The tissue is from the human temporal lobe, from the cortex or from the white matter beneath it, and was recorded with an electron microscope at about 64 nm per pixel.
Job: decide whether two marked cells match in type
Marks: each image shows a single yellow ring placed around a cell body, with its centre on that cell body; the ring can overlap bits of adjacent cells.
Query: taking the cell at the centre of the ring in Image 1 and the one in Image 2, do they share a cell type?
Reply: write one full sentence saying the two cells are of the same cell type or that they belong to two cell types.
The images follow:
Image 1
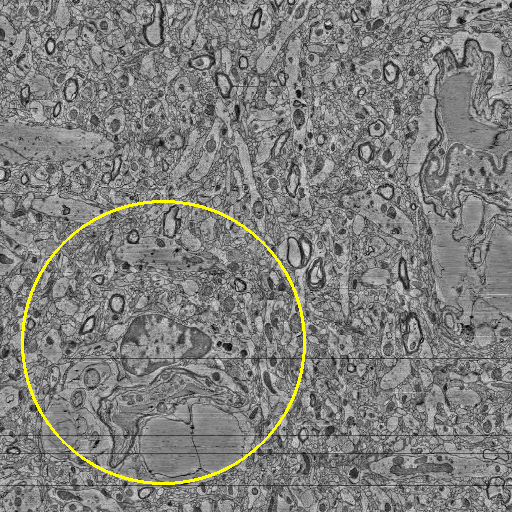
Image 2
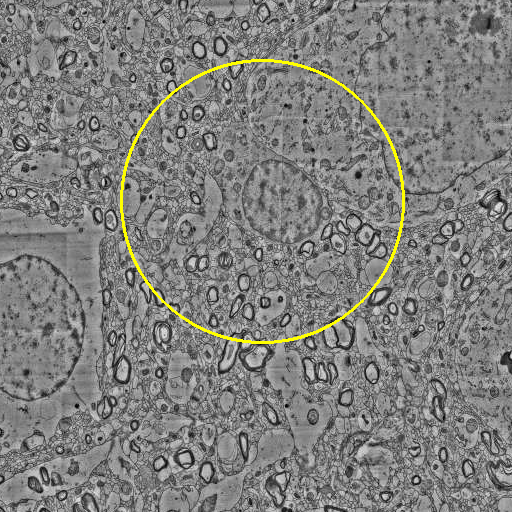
The cells at the ring centres in Image 1 and Image 2 belong to two cell types.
